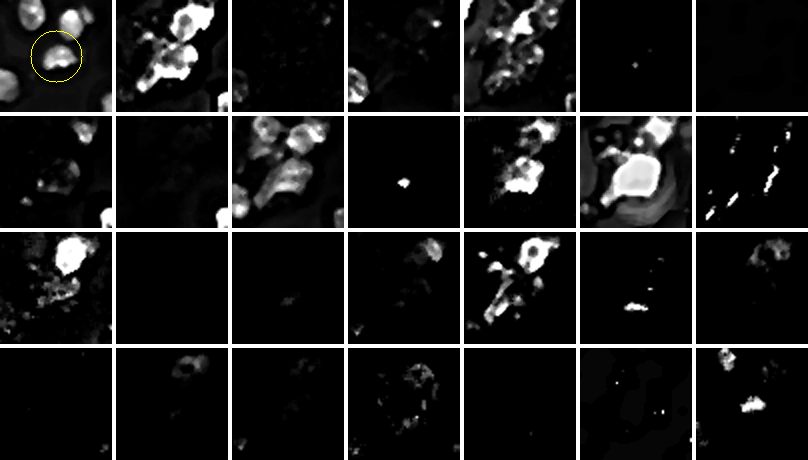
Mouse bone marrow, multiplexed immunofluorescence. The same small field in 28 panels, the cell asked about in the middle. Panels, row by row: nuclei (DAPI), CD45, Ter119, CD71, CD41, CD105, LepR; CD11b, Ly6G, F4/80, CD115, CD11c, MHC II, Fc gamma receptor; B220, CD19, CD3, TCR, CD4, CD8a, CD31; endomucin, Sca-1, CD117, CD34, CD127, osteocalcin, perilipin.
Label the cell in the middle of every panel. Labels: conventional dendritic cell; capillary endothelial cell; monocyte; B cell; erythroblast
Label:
conventional dendritic cell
